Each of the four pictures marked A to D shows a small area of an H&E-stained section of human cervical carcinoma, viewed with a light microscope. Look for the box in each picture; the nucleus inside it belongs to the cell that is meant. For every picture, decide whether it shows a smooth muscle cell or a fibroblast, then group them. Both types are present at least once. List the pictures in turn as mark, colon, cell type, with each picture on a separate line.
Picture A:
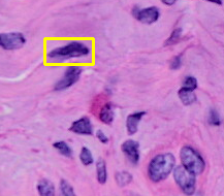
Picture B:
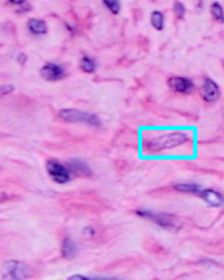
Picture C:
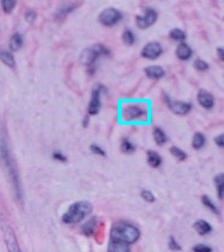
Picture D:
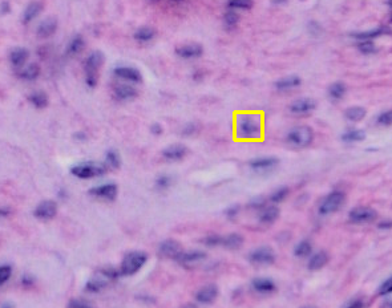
A: fibroblast
B: smooth muscle cell
C: smooth muscle cell
D: smooth muscle cell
